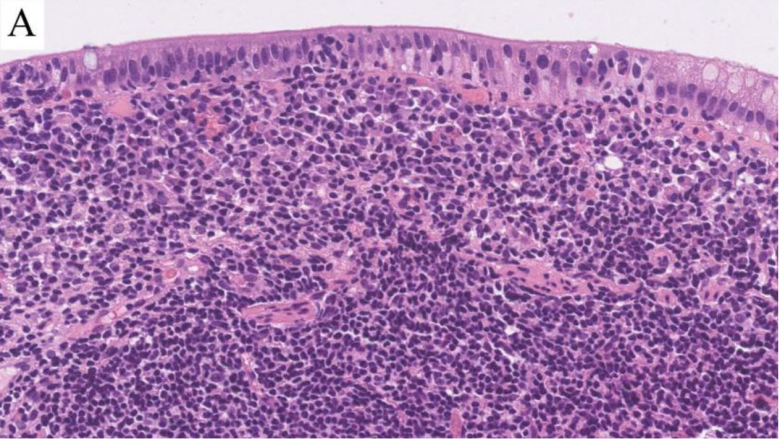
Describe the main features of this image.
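This is mucosa with a tall columnar surface epithelium containing pale goblet cells, beneath which the tissue is crowded with plasma cells. Many of these round cells have dark, eccentric nuclei with a rim of pinkish cytoplasm, and they are packed densely between small vessels.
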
